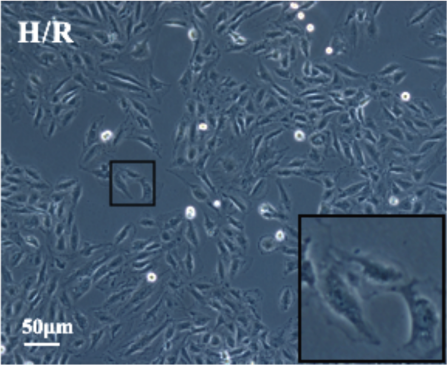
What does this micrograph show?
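This is a cultured monolayer of cells in phase contrast, in which many cells are long and slender spindles. The cells lie in streams with some open spaces between them, so the layer looks a little less crowded. The enlarged inset shows elongated cells with drawn-out cytoplasm and oval nuclei. A few small, bright, round refractile bodies are scattered over the field.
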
